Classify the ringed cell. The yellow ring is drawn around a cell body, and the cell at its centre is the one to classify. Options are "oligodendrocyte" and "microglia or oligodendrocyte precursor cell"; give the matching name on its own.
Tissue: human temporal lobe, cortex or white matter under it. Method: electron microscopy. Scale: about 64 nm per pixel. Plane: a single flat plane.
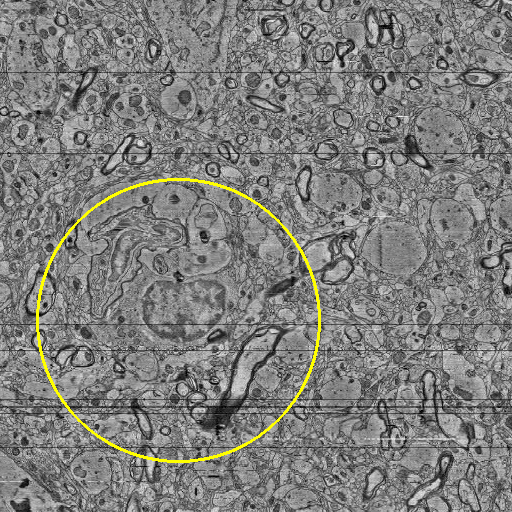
oligodendrocyte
